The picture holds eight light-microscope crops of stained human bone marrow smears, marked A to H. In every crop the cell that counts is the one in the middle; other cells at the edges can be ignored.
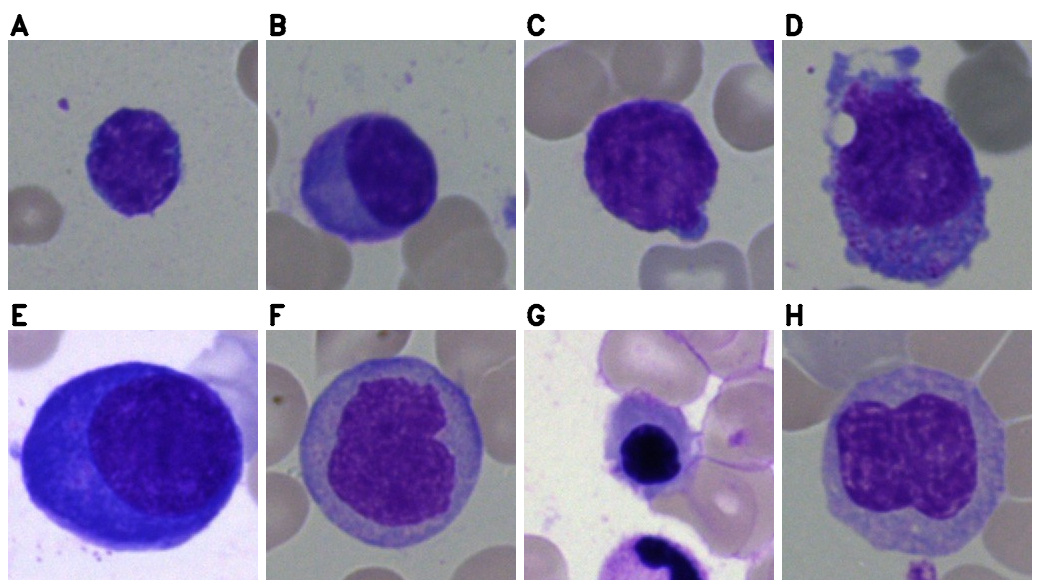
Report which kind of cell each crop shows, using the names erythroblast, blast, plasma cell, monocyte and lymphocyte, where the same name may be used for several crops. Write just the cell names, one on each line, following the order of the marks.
lymphocyte
plasma cell
blast
monocyte
plasma cell
monocyte
erythroblast
monocyte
